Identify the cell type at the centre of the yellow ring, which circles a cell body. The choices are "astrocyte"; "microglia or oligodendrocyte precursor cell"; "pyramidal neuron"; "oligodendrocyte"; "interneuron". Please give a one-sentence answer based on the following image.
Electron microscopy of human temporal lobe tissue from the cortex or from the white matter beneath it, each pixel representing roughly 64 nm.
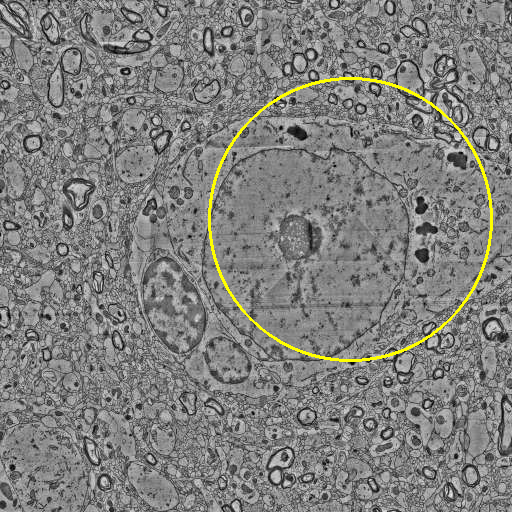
The cell marked by the ring is a pyramidal neuron.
